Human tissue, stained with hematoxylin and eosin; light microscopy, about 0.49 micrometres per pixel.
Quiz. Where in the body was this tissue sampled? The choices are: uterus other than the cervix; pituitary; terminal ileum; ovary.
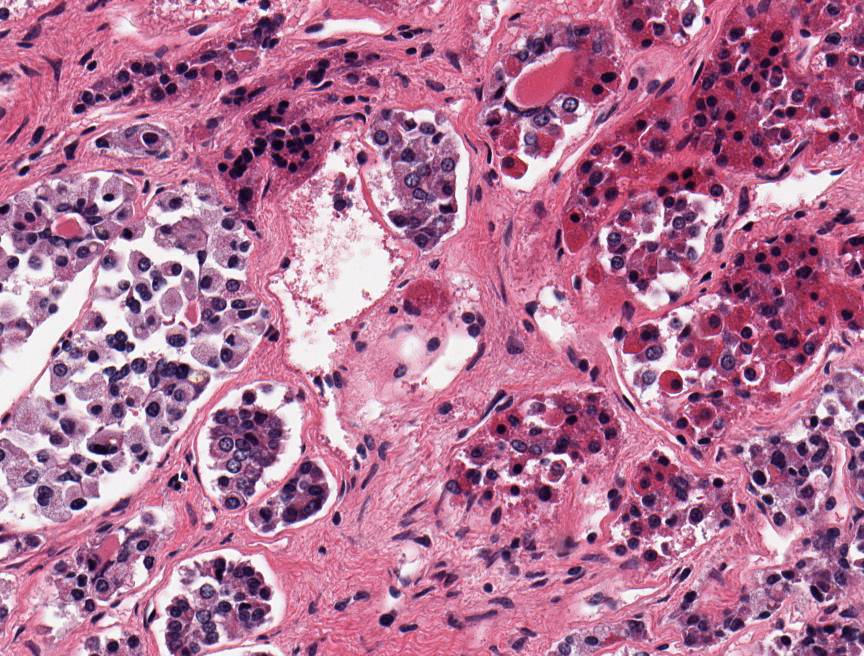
pituitary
